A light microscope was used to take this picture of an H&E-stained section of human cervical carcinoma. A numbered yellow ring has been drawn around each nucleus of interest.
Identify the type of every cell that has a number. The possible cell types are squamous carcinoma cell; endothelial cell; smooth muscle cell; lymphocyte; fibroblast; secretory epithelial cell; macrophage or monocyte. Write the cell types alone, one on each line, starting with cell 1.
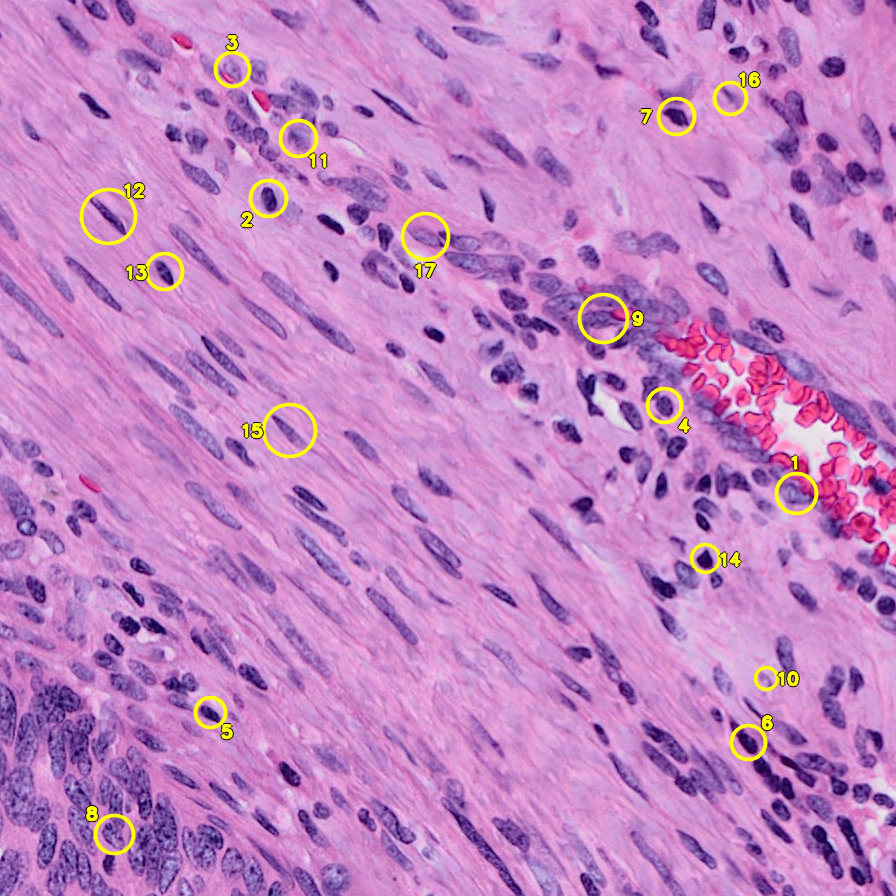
endothelial cell
lymphocyte
endothelial cell
lymphocyte
lymphocyte
lymphocyte
lymphocyte
squamous carcinoma cell
endothelial cell
fibroblast
endothelial cell
fibroblast
lymphocyte
lymphocyte
fibroblast
fibroblast
endothelial cell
